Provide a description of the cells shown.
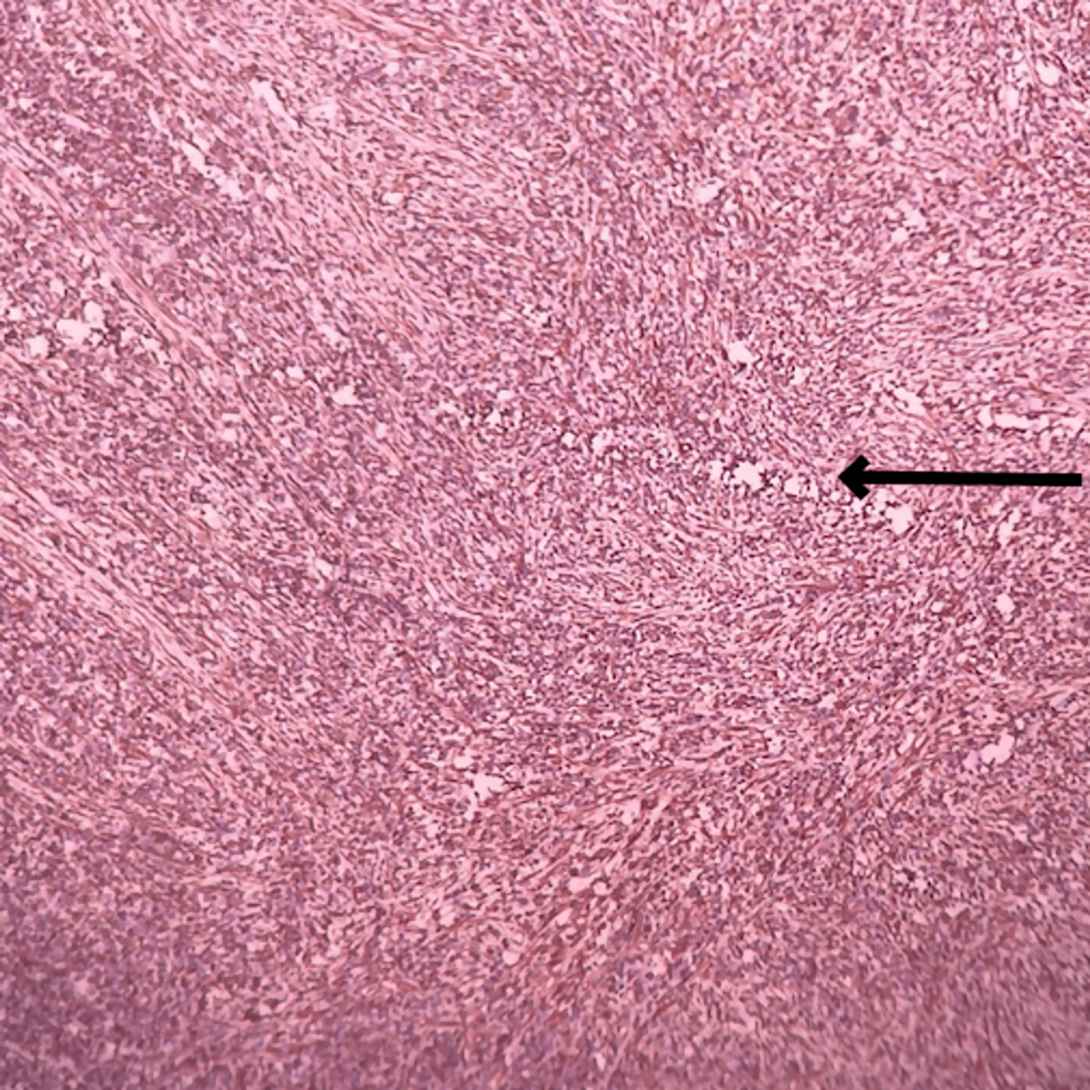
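This is a densely cellular tumor made of elongated, spindle-shaped tumor cells. The cells are arranged in long, interlacing and sweeping fascicles that run in different directions across the field, with no recognisable normal tissue structure between them. Their nuclei are dark and elongated, and they lie close together within a pink-staining cytoplasm and stroma. Small, irregular clear spaces are scattered between the cells.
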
